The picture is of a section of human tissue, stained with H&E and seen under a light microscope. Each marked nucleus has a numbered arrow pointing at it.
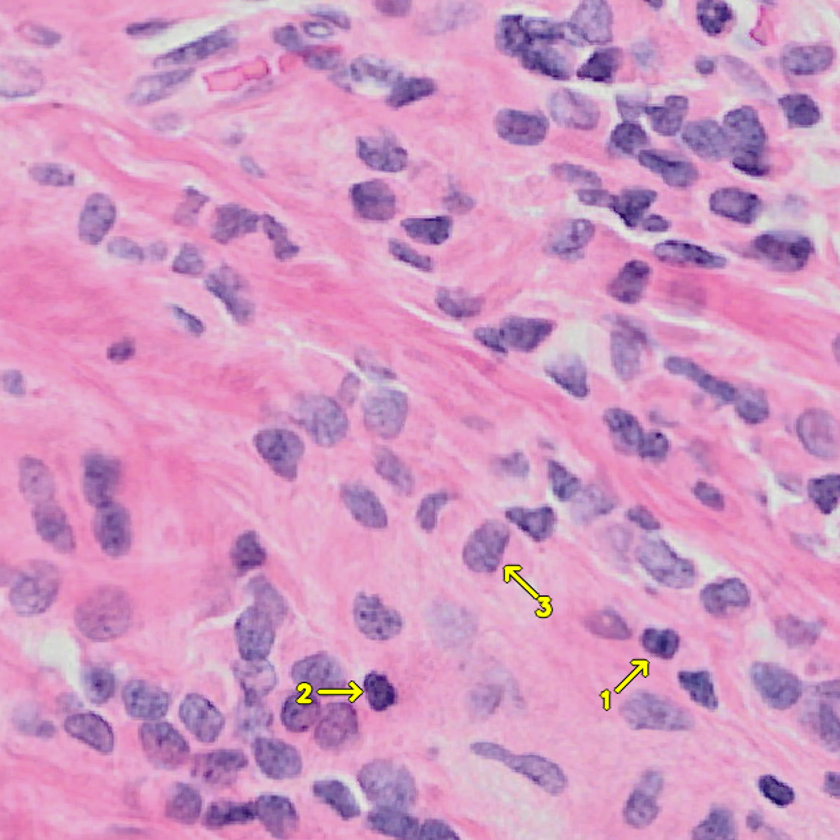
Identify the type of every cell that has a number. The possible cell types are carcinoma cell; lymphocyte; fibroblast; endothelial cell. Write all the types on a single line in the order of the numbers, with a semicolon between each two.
lymphocyte; lymphocyte; carcinoma cell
